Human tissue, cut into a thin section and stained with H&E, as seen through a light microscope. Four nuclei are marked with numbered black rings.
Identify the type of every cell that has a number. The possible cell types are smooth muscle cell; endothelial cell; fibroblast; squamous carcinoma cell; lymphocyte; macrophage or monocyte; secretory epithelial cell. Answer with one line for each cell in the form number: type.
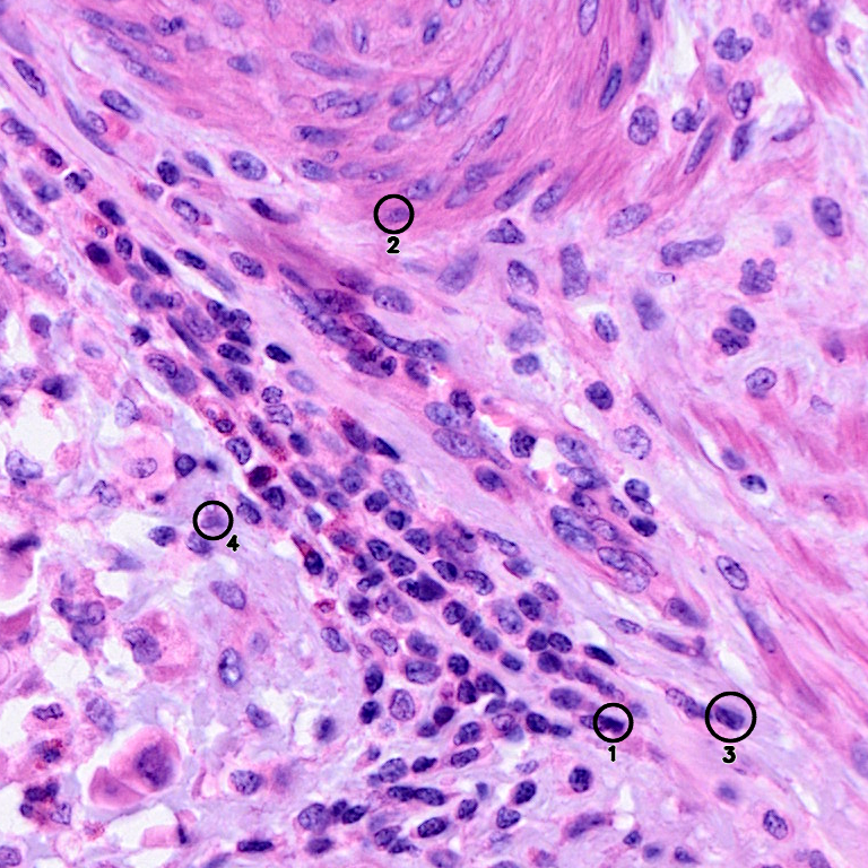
1: lymphocyte
2: smooth muscle cell
3: lymphocyte
4: macrophage or monocyte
